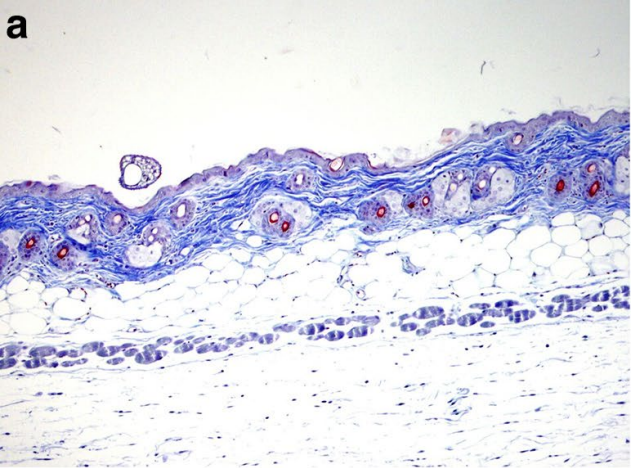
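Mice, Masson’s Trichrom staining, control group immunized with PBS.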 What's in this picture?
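This is mouse skin with a thin epidermis over a narrow band of blue-staining dermal collagen. Cross-sectioned hair follicles with red hair shafts and pale sebaceous glands sit within this band. Beneath it lies a broad layer of large, clear, empty-looking fat cells. Below the fat runs a thin strip of muscle cut in cross-section, and below that is loose, pale connective tissue with sparse nuclei. The dermis is thin and the fat layer is well preserved, which is the normal architecture of the skin.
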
